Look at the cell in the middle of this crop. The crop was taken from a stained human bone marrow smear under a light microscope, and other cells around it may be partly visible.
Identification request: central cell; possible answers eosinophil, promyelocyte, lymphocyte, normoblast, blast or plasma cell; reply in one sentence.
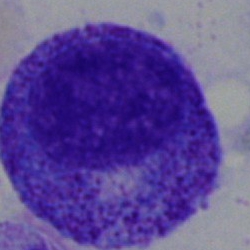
The cell nearest the centre of this crop is a promyelocyte.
